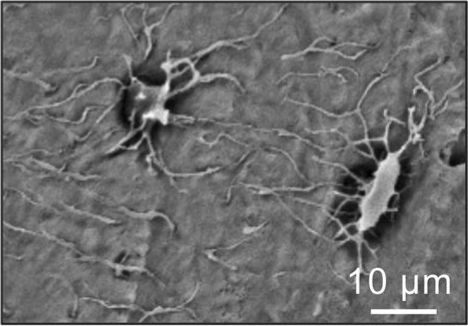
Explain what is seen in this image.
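Two cell bodies are visible, one irregular and one elongated spindle-shaped, each with fine branching processes radiating outward. Thin process threads run across the matrix between and around the cells.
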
